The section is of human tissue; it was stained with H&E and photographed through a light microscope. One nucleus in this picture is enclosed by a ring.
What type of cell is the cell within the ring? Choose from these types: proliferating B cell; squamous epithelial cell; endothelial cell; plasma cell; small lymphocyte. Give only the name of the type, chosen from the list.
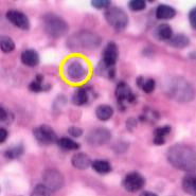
endothelial cell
